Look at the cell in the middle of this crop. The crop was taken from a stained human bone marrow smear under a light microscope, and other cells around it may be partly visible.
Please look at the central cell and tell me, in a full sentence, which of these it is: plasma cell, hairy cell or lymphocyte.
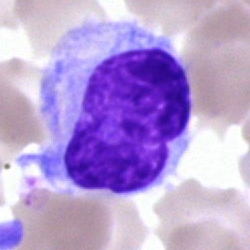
In this crop, the cell at the very middle is a hairy cell.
